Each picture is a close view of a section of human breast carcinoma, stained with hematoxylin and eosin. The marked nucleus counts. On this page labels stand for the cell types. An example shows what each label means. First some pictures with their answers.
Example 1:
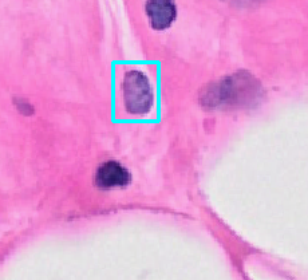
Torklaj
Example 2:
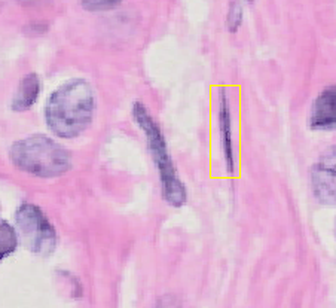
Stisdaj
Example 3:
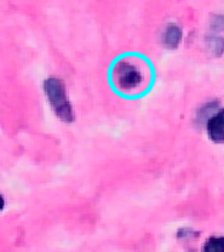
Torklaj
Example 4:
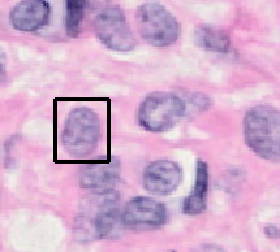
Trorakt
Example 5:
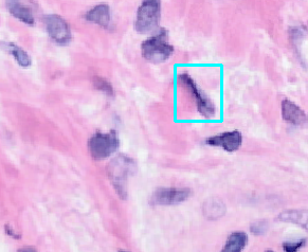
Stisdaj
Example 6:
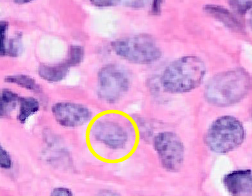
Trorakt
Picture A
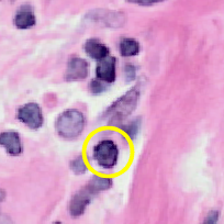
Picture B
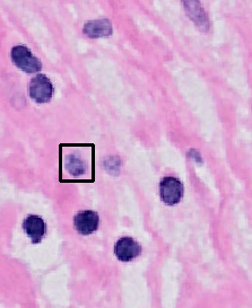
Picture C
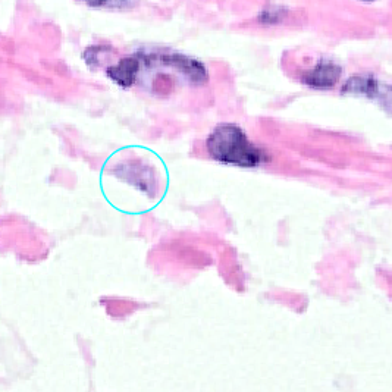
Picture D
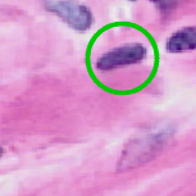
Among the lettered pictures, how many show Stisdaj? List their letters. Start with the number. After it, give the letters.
1: C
